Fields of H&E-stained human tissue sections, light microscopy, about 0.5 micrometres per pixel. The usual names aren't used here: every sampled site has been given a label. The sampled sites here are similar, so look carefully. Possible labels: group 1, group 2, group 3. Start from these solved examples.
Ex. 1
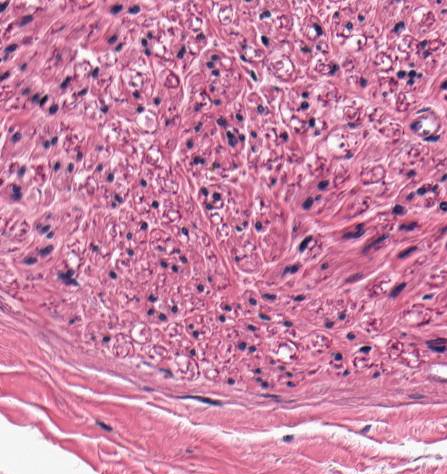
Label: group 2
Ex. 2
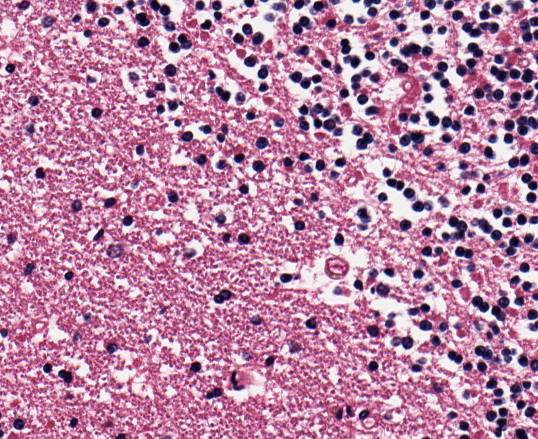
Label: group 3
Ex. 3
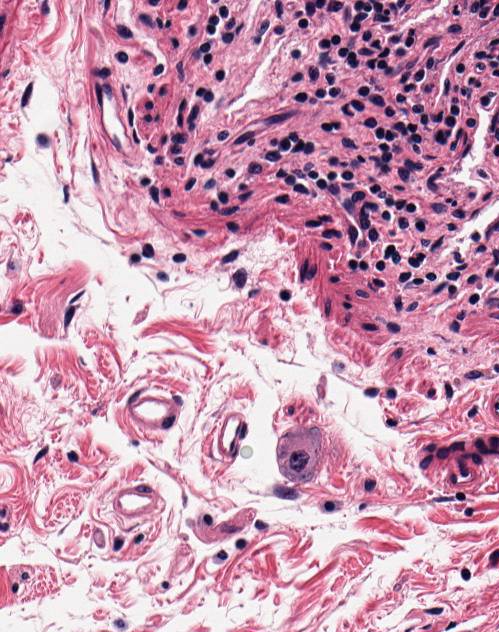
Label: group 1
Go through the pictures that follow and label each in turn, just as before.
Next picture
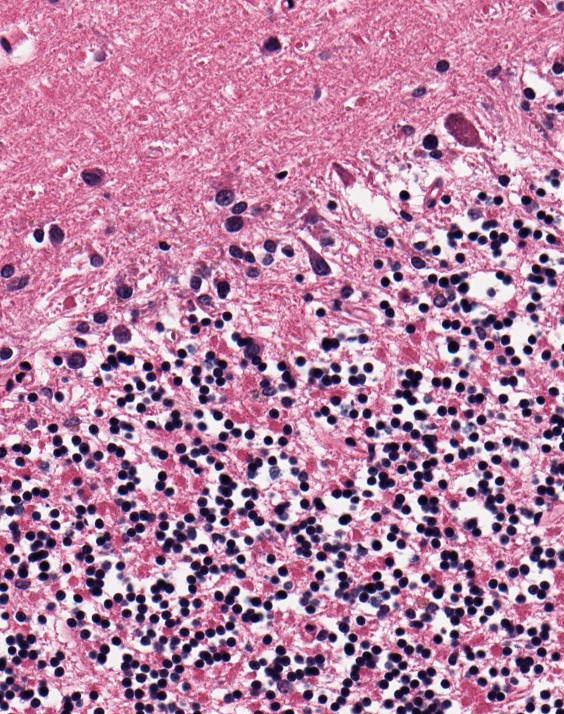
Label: group 3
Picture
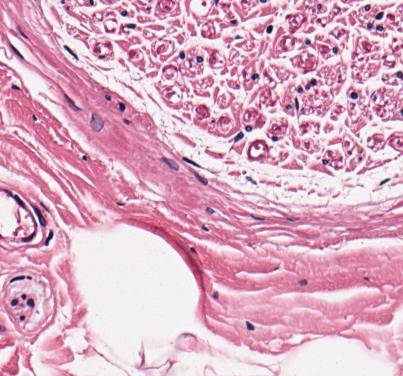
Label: group 2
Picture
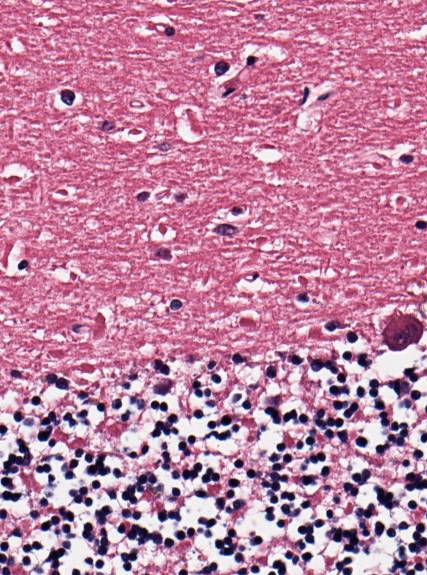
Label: group 3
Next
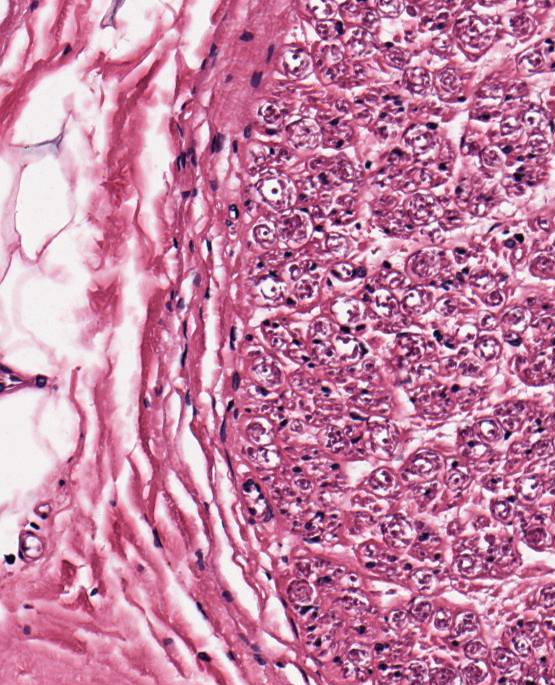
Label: group 2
